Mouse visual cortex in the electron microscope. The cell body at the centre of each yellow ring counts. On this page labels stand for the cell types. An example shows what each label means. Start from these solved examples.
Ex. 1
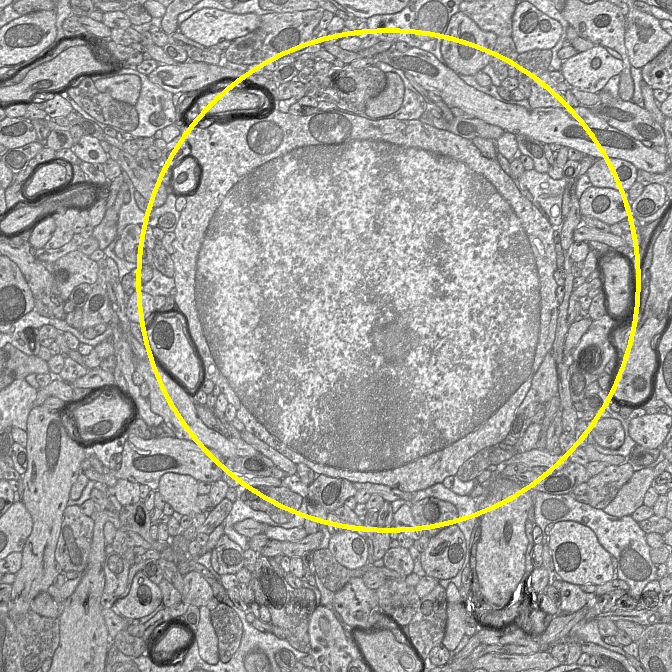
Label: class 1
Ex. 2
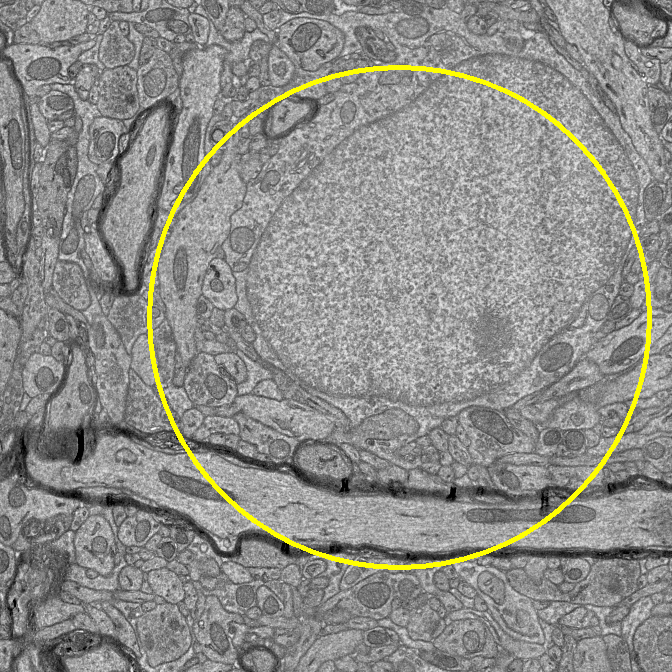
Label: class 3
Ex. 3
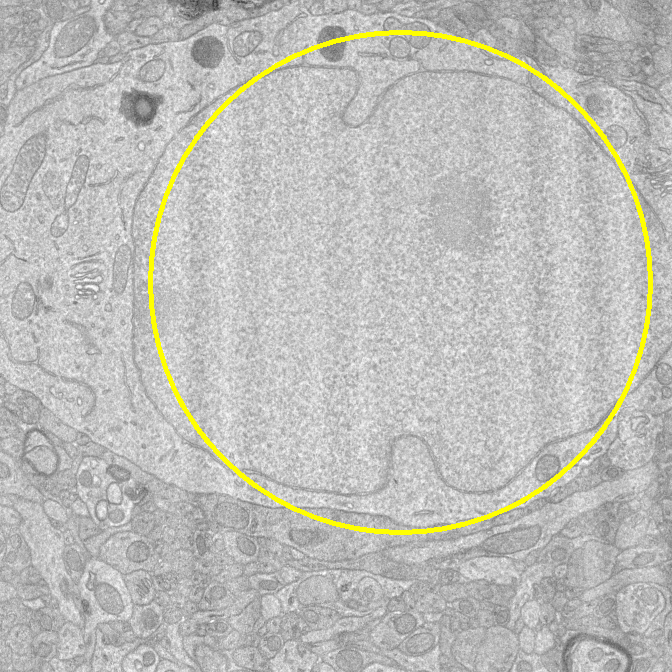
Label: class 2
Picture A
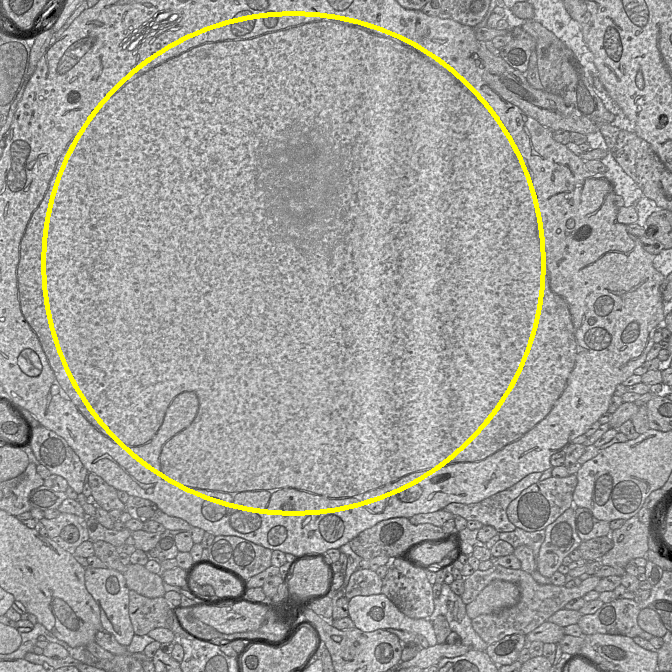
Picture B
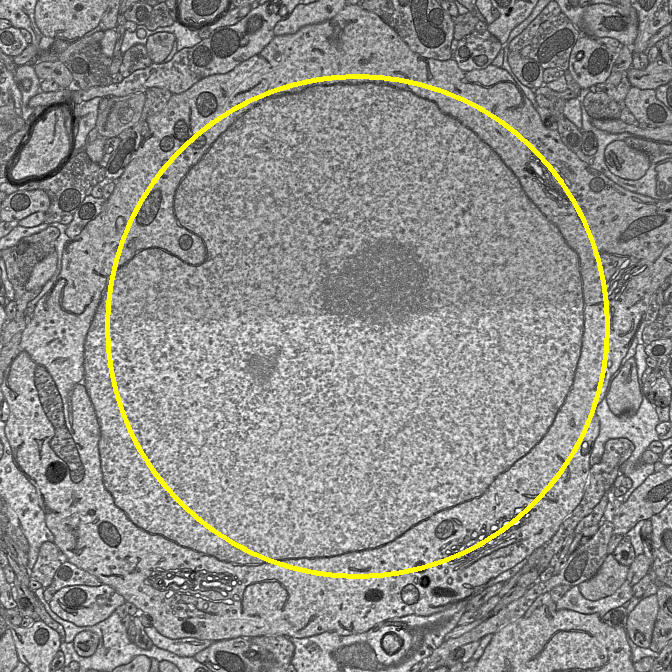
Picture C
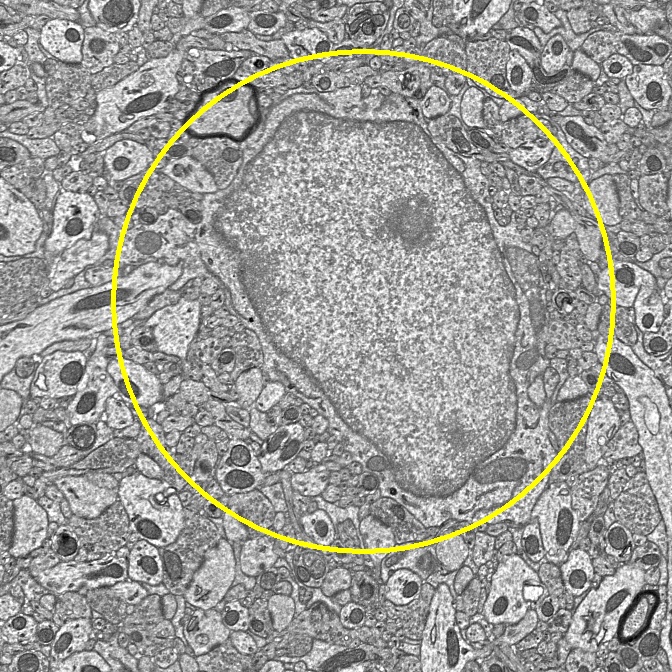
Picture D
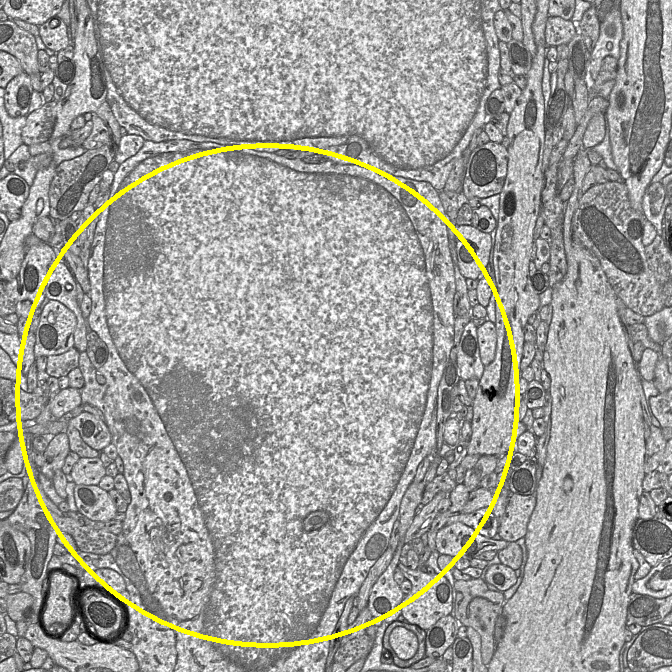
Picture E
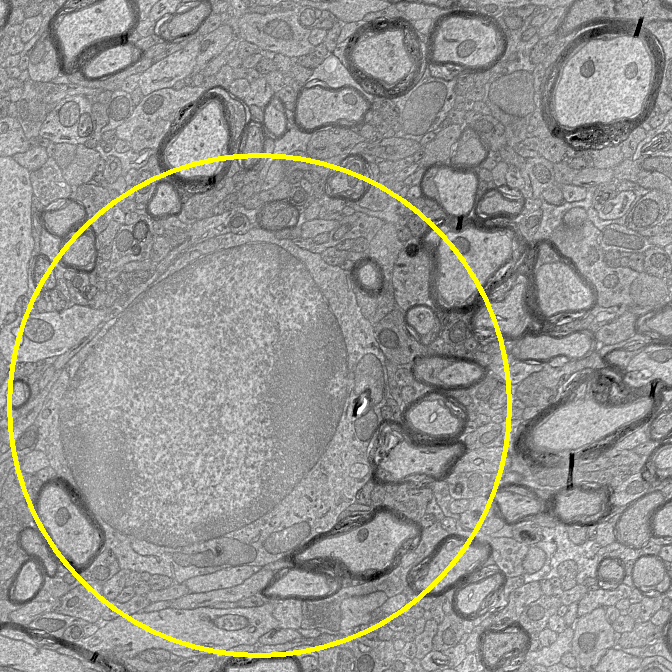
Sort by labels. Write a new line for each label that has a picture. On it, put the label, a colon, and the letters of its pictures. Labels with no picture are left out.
class 1: E
class 3: C, D
class 2: A, B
